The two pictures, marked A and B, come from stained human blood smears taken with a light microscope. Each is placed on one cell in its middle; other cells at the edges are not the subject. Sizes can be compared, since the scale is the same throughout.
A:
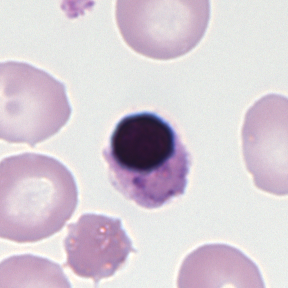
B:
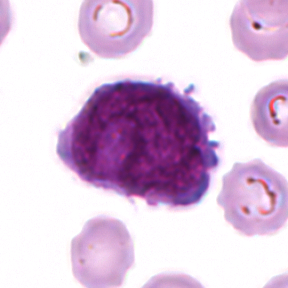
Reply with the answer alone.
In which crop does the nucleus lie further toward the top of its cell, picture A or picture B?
A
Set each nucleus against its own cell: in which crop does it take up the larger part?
B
